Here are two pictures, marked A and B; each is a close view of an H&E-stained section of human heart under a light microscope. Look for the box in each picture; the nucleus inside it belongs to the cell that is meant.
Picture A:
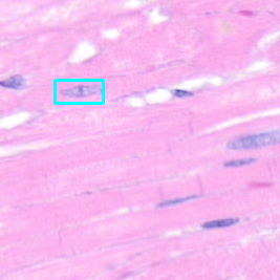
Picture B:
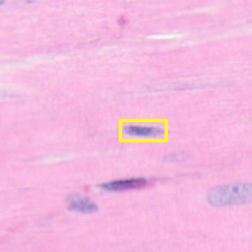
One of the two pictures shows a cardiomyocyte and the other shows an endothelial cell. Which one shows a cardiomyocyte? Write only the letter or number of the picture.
A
